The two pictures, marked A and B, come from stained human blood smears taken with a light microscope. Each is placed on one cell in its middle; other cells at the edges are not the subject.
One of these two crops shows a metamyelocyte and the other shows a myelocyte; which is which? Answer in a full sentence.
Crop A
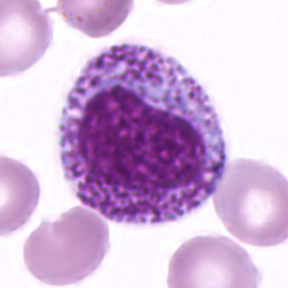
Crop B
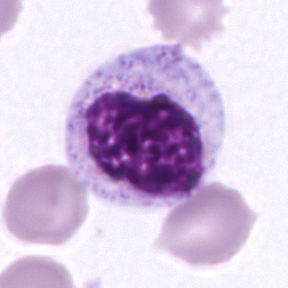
Crop A is a myelocyte; crop B, on the other hand, is a metamyelocyte.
